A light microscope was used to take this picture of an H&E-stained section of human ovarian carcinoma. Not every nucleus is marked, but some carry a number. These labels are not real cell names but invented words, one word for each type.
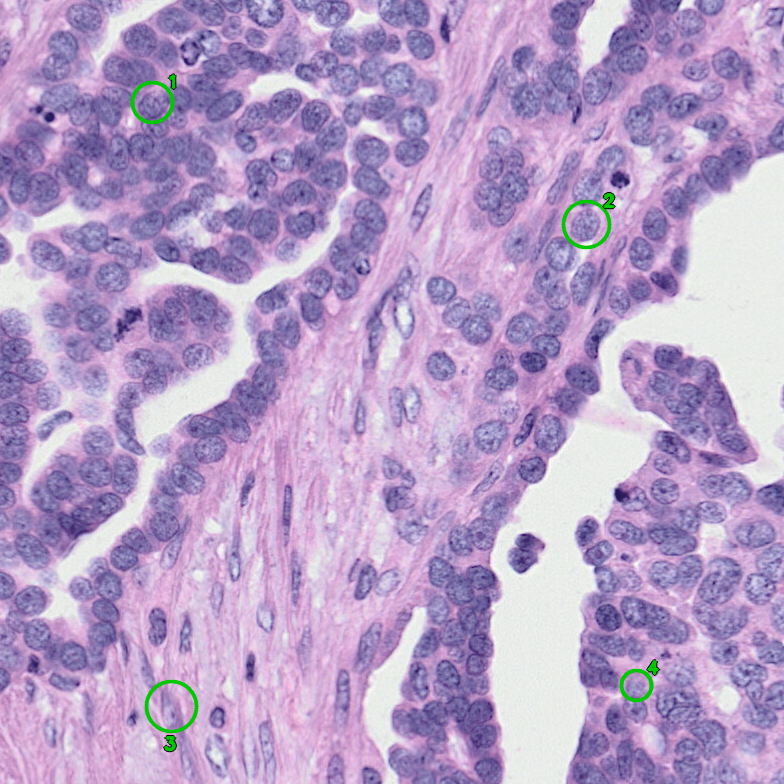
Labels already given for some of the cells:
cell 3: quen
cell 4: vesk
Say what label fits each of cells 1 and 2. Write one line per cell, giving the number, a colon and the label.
1: vesk
2: vesk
